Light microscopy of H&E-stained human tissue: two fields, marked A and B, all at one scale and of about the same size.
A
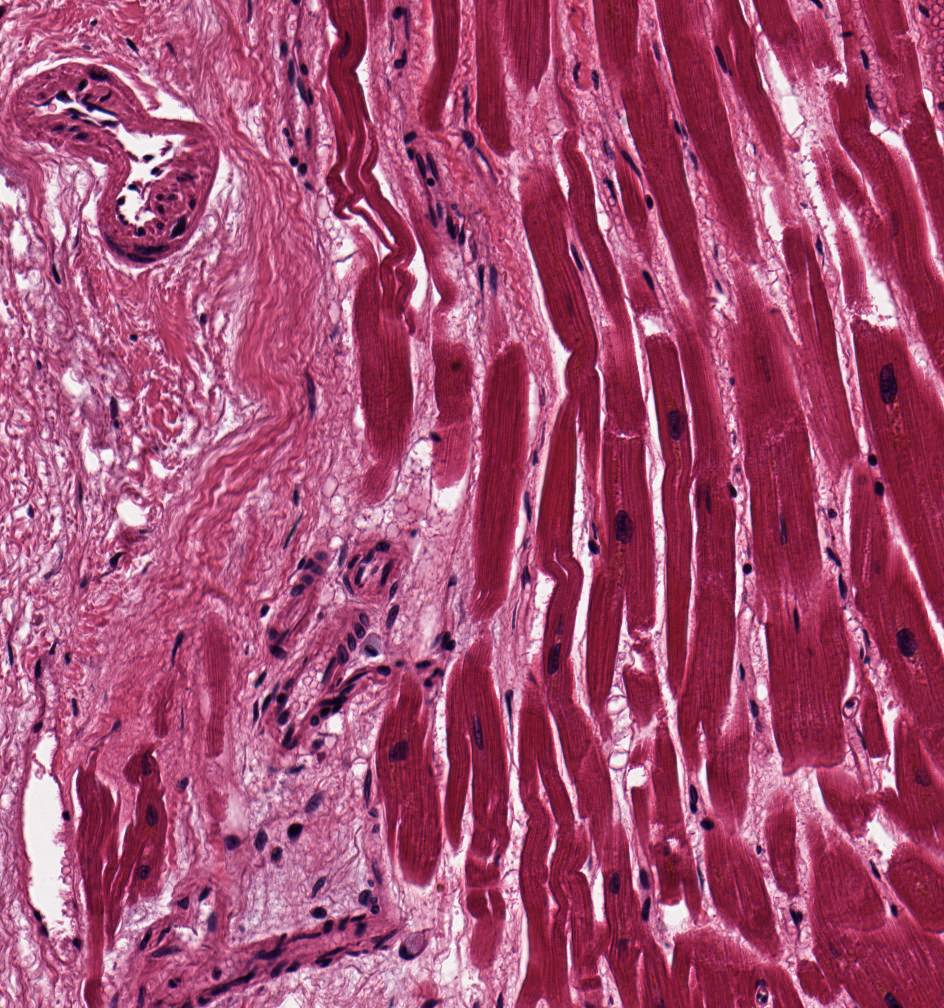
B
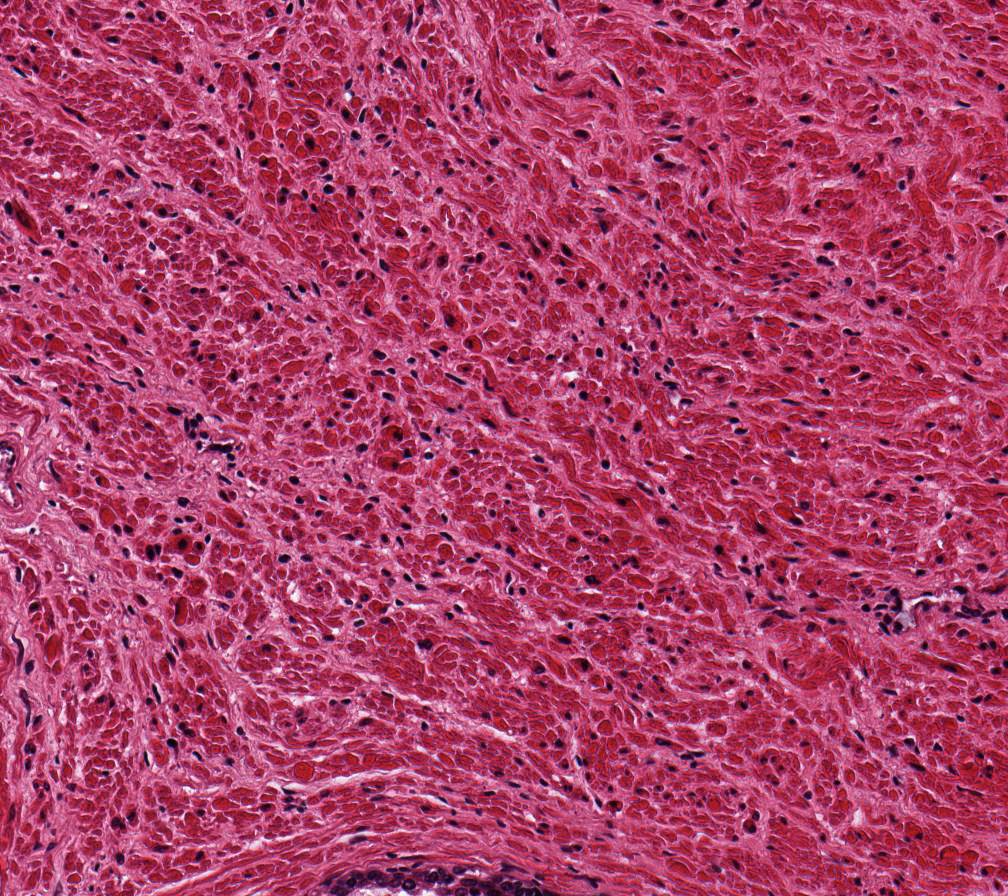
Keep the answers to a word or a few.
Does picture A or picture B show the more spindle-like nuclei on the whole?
A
